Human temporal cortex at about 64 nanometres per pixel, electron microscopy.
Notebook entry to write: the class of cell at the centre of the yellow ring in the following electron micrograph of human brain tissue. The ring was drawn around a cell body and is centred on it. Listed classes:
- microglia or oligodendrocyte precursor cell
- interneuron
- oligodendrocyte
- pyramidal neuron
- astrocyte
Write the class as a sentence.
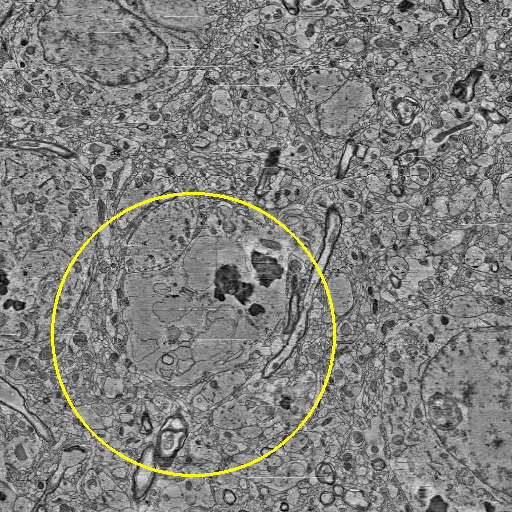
The yellow ring sits on an astrocyte.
